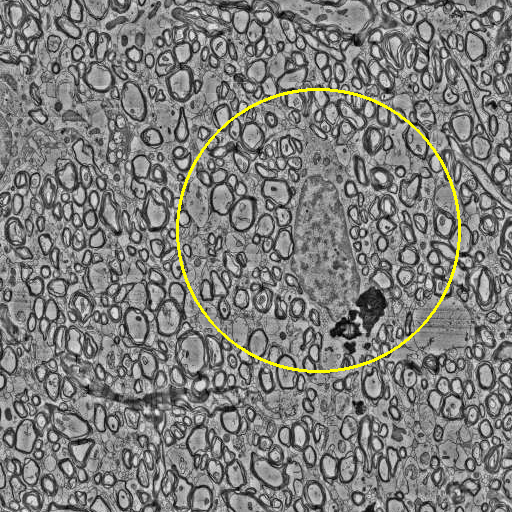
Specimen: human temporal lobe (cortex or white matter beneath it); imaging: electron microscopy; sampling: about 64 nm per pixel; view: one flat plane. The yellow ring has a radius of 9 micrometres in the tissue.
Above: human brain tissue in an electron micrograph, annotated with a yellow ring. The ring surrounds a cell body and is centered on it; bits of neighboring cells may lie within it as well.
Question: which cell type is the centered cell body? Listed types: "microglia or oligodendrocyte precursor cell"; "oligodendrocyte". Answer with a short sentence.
The centered cell body is an oligodendrocyte.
